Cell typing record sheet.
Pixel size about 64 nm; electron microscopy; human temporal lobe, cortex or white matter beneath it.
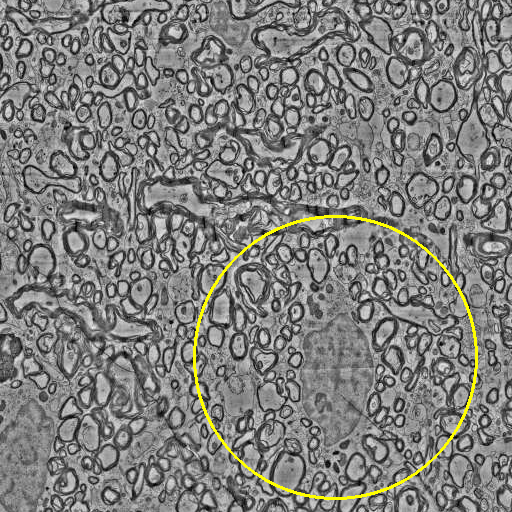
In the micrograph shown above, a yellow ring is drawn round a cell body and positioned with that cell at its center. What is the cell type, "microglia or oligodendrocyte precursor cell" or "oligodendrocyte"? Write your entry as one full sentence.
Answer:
The cell body at the center of the ring belongs to an oligodendrocyte.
